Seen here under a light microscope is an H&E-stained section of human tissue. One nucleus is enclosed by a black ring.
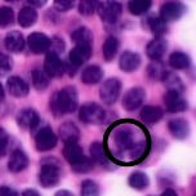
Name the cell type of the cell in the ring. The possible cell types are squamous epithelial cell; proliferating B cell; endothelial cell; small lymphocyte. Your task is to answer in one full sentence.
As for its identity, the cell in the ring is a small lymphocyte.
